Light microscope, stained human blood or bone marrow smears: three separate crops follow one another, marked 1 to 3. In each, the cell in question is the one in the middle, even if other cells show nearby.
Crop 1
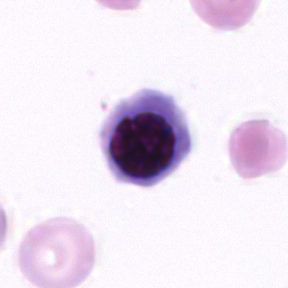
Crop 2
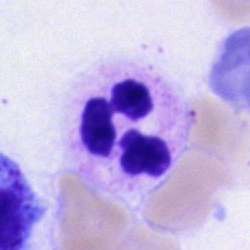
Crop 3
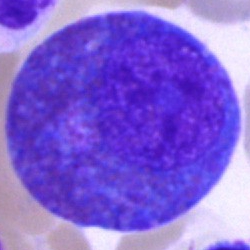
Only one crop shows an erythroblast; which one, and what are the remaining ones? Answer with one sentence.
In crop 1 the cell shown is an erythroblast, and crop 2 is a segmented neutrophil and crop 3 is an eosinophil.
